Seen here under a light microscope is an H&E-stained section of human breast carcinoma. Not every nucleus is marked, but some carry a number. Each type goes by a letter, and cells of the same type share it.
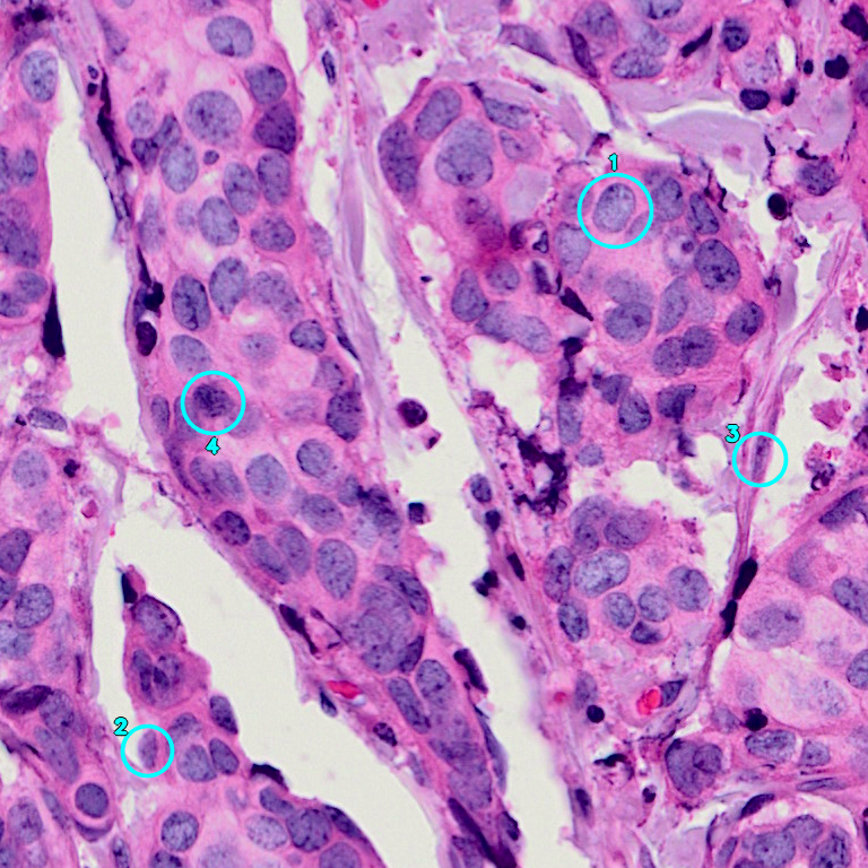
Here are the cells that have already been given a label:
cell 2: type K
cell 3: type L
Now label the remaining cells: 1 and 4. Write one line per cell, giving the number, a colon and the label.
1: type K
4: type K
